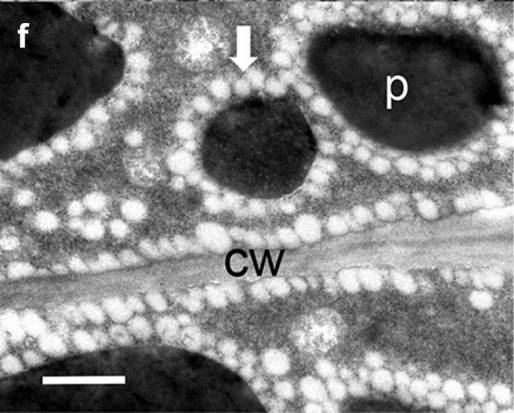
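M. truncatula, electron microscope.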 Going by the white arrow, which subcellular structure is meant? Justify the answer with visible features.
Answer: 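Oil bodies. Small pale round bodies line up around large dark bodies. The arrow points to one of these small pale bodies.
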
